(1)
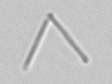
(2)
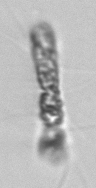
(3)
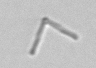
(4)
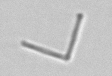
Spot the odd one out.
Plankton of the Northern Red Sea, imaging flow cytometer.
Picture 2 (Bacteriastrum furcatum among Nanoneis).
